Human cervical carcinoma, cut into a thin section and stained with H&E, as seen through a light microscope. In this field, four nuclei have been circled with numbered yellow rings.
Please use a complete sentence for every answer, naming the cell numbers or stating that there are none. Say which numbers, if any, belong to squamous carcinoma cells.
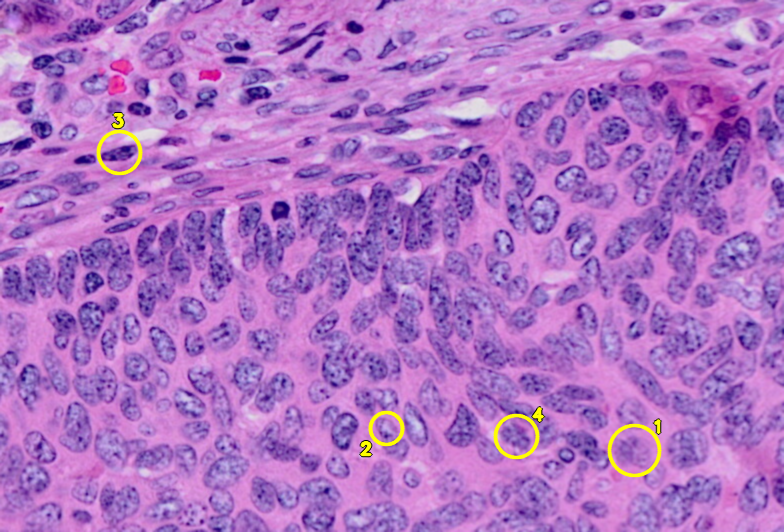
The cells identified by the numbers 1, 2 and 4 are squamous carcinoma cells.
